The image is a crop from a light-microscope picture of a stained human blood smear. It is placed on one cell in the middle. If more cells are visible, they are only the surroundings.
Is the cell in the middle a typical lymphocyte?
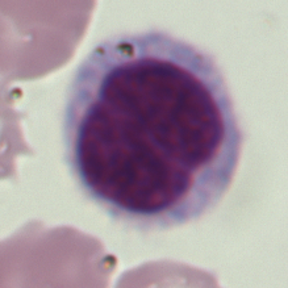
no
